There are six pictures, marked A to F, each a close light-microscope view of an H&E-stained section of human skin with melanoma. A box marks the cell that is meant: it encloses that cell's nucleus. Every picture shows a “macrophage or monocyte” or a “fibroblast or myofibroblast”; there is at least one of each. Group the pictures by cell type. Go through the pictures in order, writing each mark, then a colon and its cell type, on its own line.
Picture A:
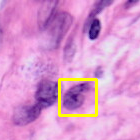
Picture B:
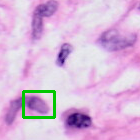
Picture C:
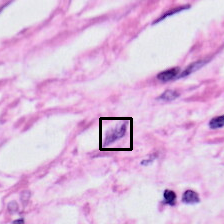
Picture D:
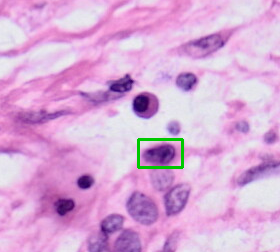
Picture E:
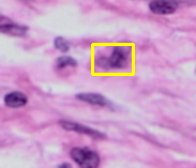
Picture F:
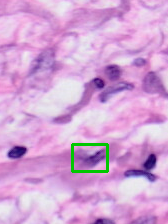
A: macrophage or monocyte
B: macrophage or monocyte
C: fibroblast or myofibroblast
D: macrophage or monocyte
E: macrophage or monocyte
F: fibroblast or myofibroblast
